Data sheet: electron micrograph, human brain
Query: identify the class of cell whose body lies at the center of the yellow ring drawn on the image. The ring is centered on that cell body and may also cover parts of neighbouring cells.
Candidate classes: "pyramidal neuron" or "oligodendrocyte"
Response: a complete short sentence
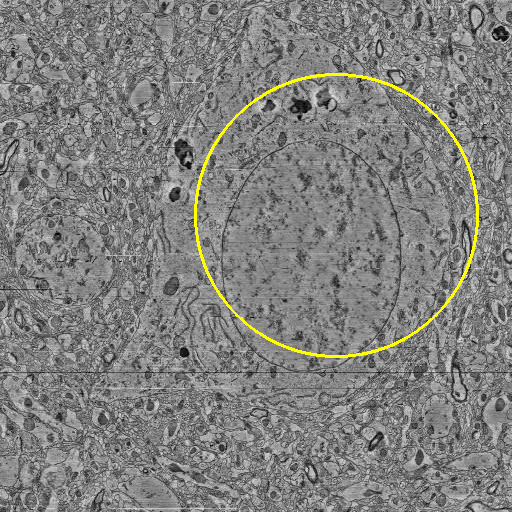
At the center of the ring lies a pyramidal neuron.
